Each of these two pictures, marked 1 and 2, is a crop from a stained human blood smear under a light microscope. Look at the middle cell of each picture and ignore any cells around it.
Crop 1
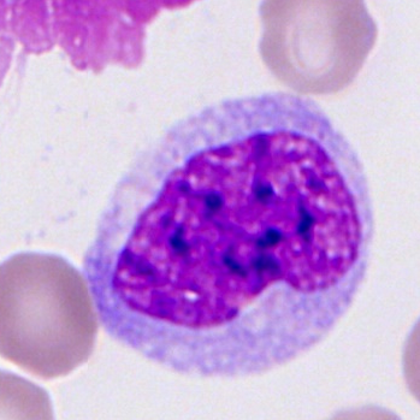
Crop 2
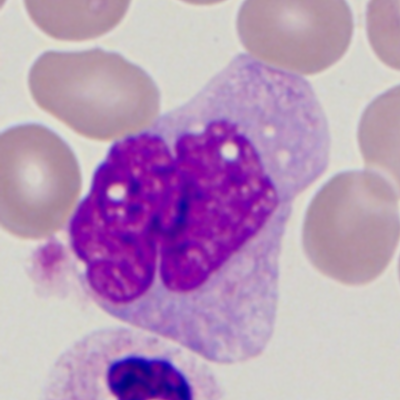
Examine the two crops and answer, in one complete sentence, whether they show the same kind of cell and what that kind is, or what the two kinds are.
Yes, both crops show monocytes at their middles.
